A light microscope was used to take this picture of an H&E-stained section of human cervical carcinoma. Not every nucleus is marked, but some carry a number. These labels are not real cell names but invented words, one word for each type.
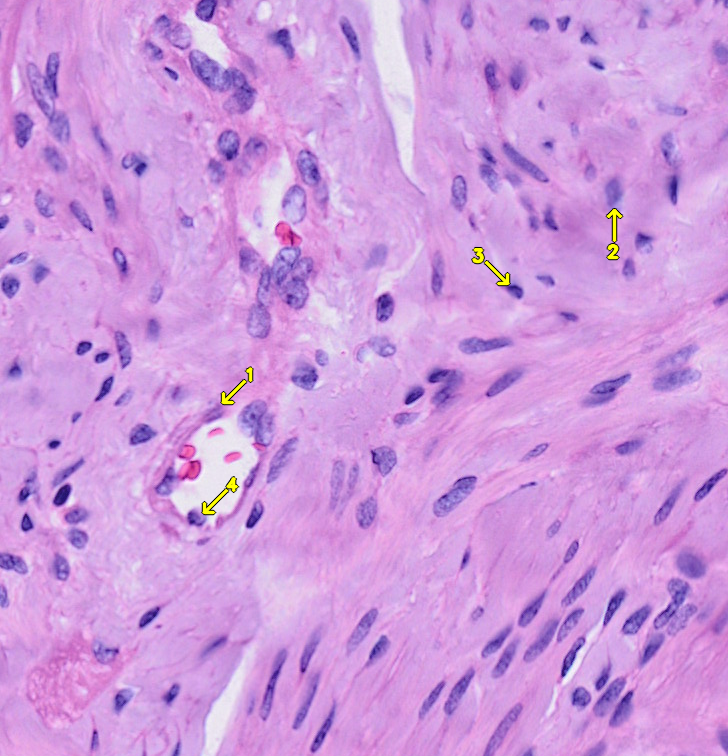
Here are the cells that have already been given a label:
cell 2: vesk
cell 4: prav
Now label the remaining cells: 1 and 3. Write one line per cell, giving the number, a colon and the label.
1: prav
3: vesk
